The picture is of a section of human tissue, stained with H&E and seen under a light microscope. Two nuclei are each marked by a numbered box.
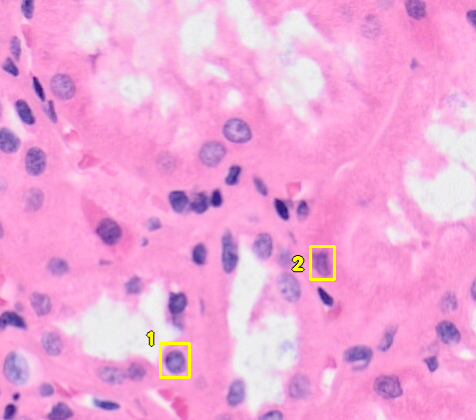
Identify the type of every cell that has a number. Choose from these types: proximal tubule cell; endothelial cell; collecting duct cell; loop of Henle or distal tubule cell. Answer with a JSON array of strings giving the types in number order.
["loop of Henle or distal tubule cell", "proximal tubule cell"]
